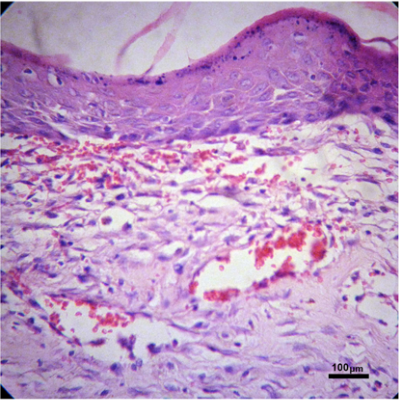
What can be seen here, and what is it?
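Skin with a layered squamous epidermis on top, its surface capped by a thin pink keratin layer and its cells showing pale, rounded nuclei with some clear spaces around them. Beneath lies a loose, pale dermis with scattered spindle-shaped and oval purple nuclei among wispy pink fibres. Striking are the many bright red blood cells lying free in the tissue just under the epidermis and packed within wide, thin-walled vessels deeper down. The loose, open texture of the dermis and the spilled red cells suggest connective tissue that is still not fully organised.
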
